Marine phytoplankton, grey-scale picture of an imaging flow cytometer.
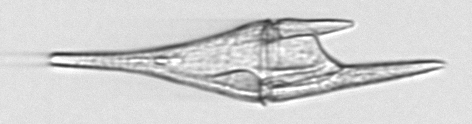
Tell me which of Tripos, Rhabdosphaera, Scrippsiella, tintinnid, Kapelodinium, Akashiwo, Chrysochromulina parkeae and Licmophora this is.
The picture shows Tripos.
